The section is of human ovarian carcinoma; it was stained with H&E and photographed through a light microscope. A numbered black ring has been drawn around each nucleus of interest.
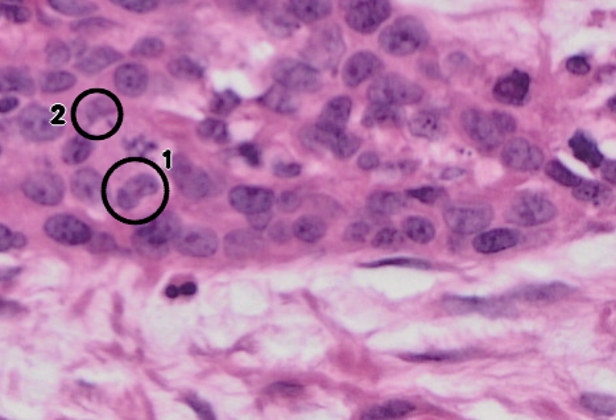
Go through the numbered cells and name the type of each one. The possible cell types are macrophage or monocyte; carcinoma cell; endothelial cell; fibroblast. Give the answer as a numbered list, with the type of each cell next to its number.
1. macrophage or monocyte
2. carcinoma cell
